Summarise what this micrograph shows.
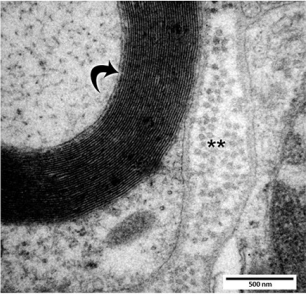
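This is a very high-power view of peripheral nerve showing the edge of a myelinated fiber: its myelin sheath is a thick dark band in which many fine parallel lamellae can be made out as it curves around the axon. Outside the sheath lies a thin rim of Schwann cell cytoplasm, and beyond it a space packed with tiny dark dots, which are endoneurial collagen fibrils cut across.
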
